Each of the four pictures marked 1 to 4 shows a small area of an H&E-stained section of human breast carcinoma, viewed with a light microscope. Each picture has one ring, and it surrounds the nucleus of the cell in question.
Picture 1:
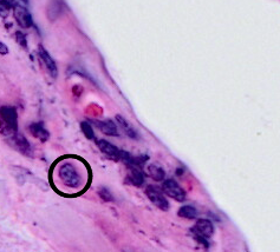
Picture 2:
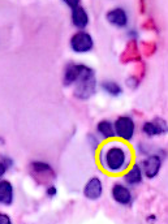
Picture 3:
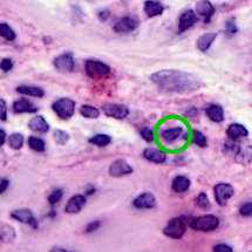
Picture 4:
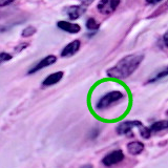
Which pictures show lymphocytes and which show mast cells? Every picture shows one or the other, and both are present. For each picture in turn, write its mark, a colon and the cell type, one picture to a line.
1: mast cell
2: lymphocyte
3: lymphocyte
4: lymphocyte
